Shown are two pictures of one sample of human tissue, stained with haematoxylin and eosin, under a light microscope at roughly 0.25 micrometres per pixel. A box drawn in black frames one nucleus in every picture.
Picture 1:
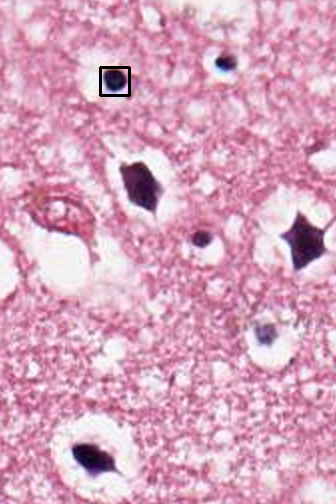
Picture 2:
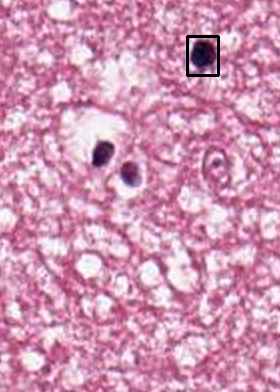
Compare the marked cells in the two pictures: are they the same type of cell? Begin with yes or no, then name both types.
Yes, both are oligodendrocytes.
